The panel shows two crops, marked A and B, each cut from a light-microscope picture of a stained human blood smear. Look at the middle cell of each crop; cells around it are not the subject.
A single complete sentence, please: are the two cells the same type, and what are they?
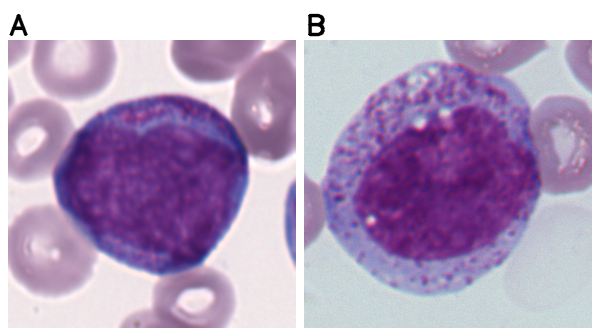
Yes, the two crops show promyelocytes, both of them.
